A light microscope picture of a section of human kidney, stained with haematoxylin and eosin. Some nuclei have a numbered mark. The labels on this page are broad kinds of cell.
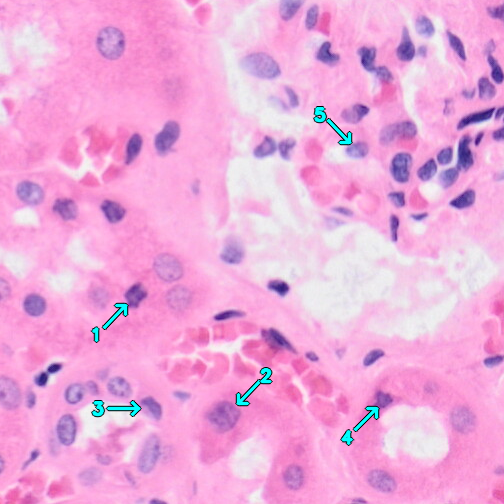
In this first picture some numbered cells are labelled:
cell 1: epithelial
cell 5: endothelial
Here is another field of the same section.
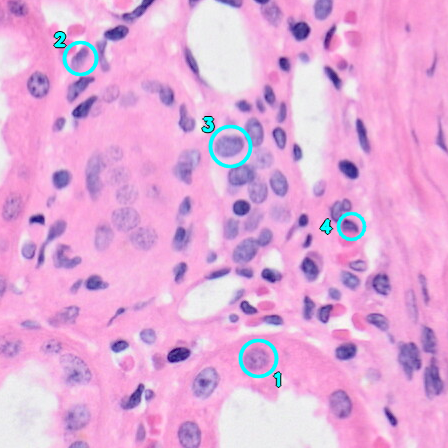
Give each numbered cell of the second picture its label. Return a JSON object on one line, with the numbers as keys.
{"1": "epithelial", "2": "endothelial", "3": "epithelial", "4": "endothelial"}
